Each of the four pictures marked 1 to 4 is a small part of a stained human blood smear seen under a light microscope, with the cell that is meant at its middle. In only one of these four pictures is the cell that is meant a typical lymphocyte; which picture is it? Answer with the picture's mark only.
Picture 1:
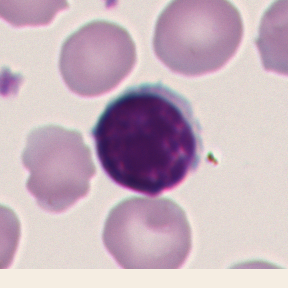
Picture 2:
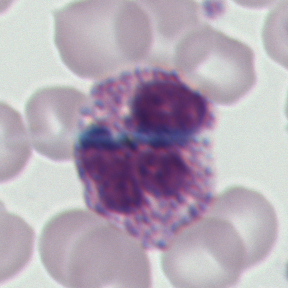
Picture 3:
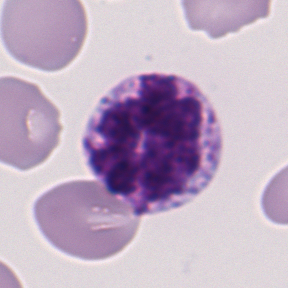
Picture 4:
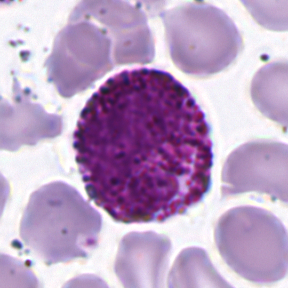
1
